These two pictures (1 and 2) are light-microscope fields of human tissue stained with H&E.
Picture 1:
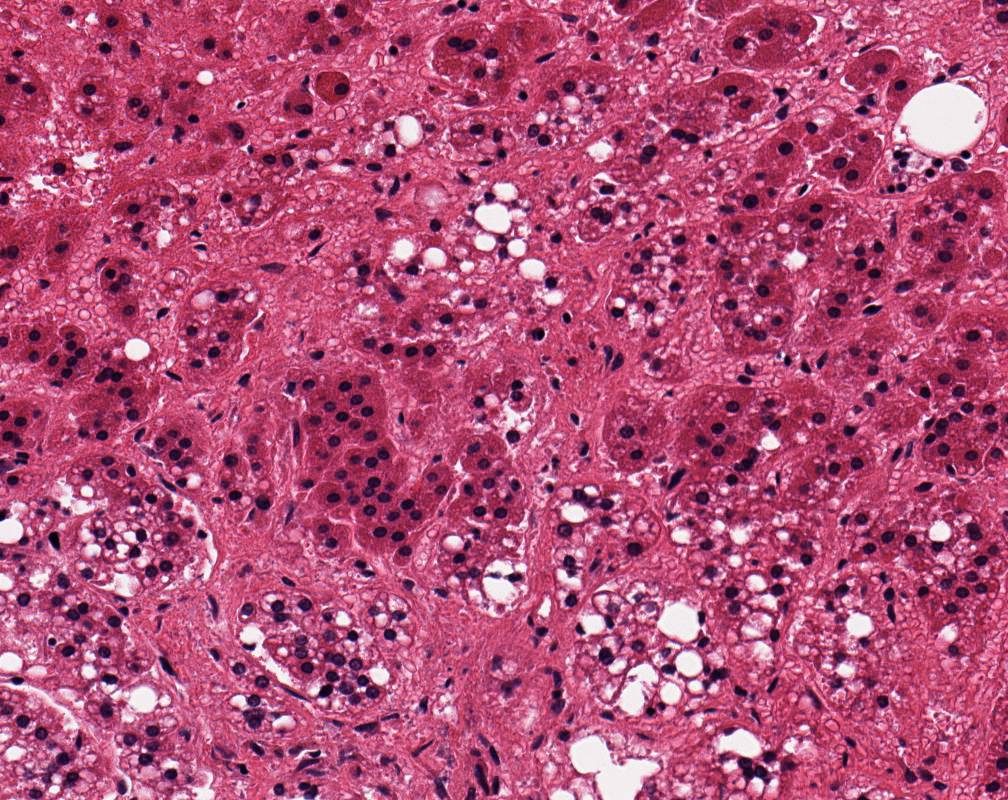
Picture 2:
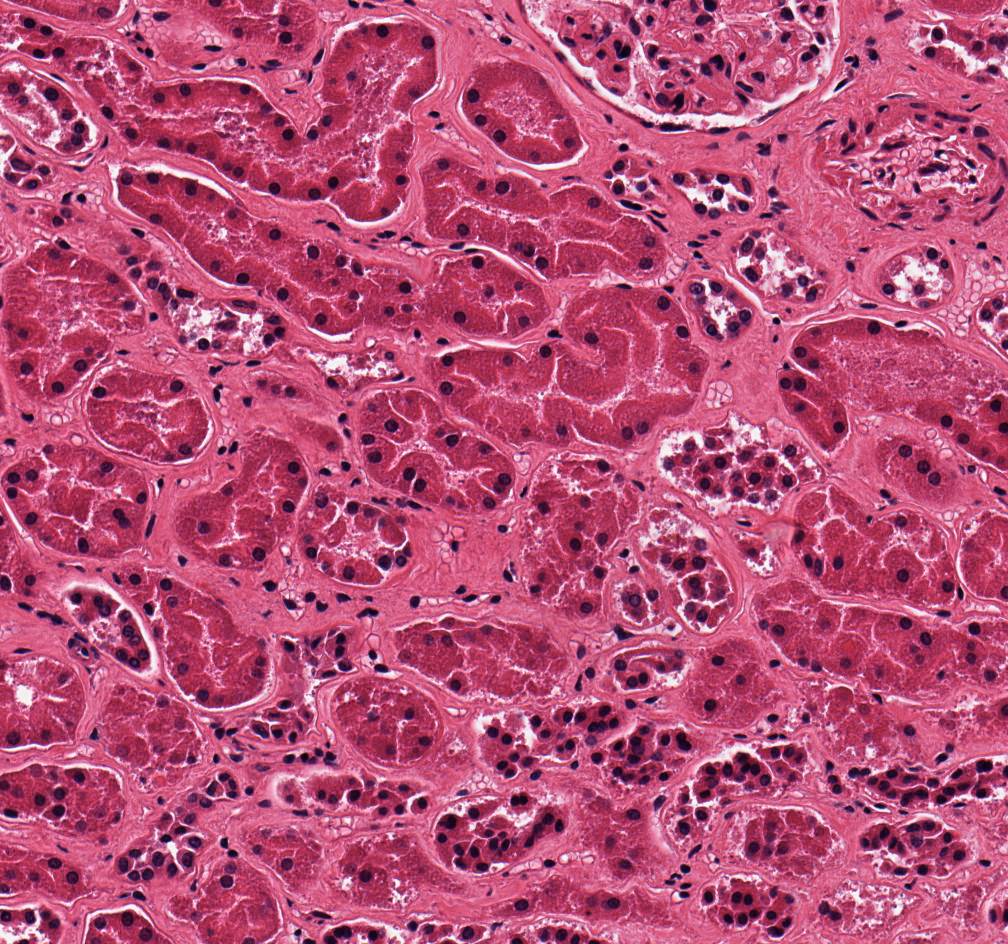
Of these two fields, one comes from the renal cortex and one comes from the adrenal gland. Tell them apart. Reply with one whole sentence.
Picture 1 comes from the adrenal gland and picture 2 comes from the renal cortex.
